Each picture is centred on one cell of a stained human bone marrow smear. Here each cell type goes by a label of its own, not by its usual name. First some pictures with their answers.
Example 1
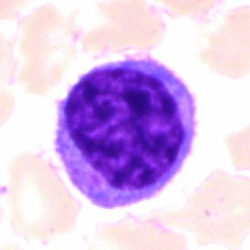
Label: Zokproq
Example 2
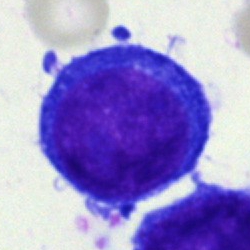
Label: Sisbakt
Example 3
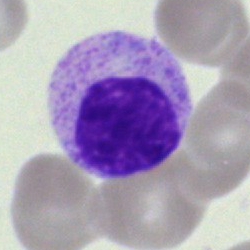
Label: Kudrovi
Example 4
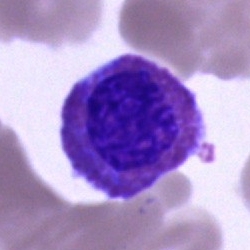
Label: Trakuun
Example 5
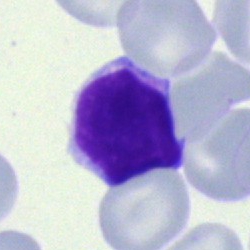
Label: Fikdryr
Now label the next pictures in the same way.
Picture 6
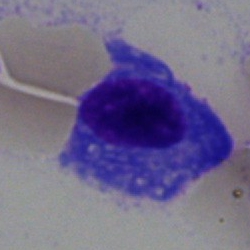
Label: Zokproq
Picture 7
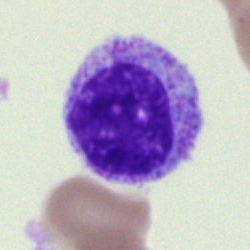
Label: Kudrovi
